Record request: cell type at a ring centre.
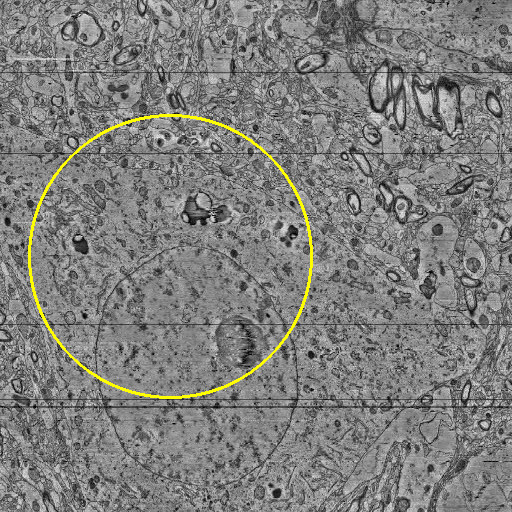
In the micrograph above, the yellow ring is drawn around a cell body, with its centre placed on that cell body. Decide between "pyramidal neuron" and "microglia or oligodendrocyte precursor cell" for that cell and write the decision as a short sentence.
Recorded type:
The cell centred in the yellow ring is a pyramidal neuron.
